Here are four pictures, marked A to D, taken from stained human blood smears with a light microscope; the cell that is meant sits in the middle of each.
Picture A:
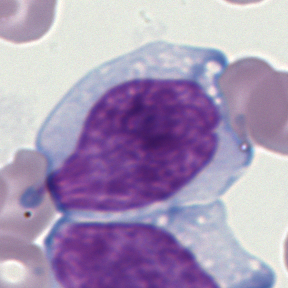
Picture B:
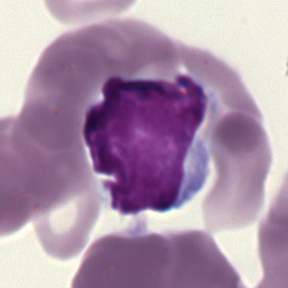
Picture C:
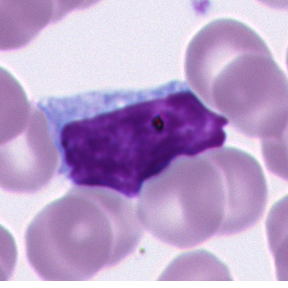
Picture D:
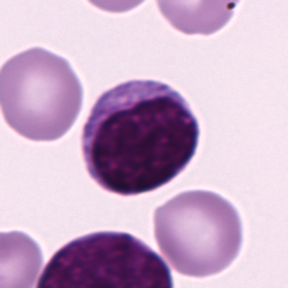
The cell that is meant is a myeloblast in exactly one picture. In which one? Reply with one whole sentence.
Picture A is the one that shows the myeloblast.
